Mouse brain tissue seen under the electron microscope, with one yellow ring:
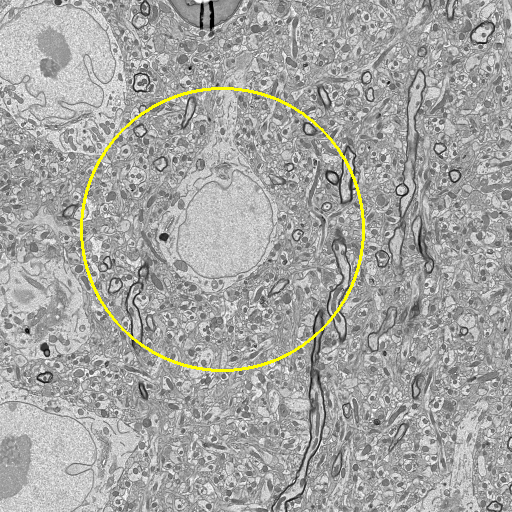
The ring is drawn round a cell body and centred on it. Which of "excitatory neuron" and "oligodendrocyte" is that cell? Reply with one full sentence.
The picture shows an excitatory neuron at the very centre of the yellow ring.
